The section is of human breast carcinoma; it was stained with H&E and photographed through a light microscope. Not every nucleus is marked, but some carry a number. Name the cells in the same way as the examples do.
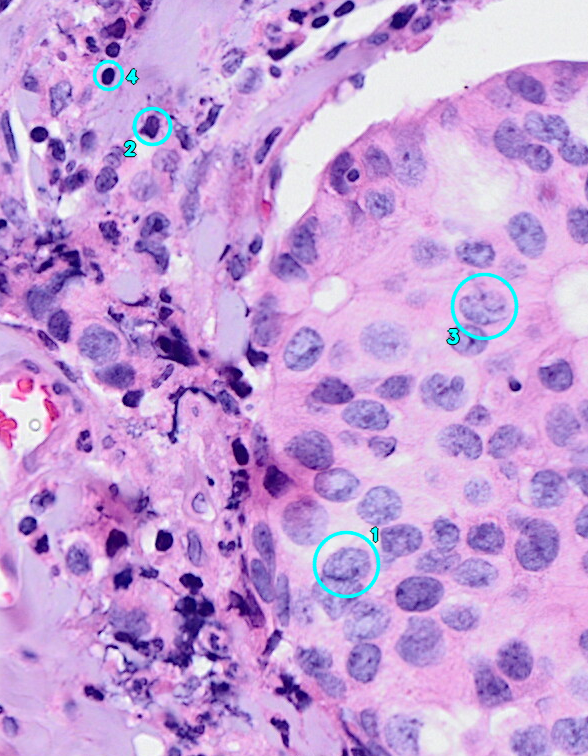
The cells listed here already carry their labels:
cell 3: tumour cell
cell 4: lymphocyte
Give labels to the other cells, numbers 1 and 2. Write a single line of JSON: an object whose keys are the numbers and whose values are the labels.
{"1": "tumour cell", "2": "lymphocyte"}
